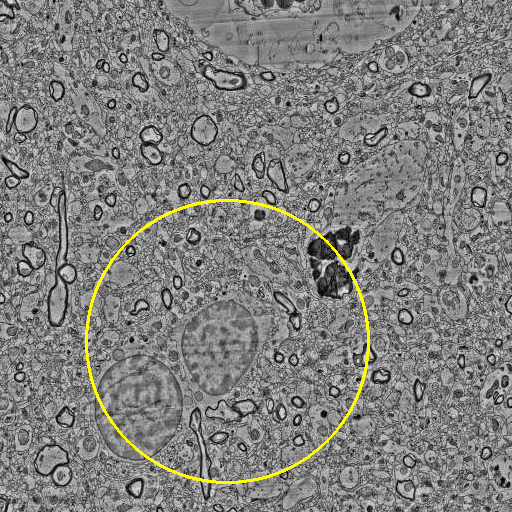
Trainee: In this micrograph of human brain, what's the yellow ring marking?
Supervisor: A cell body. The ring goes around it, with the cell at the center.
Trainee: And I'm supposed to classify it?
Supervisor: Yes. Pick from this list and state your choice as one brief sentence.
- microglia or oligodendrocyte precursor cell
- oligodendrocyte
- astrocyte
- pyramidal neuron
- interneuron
The cell at the ring's center is an oligodendrocyte.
